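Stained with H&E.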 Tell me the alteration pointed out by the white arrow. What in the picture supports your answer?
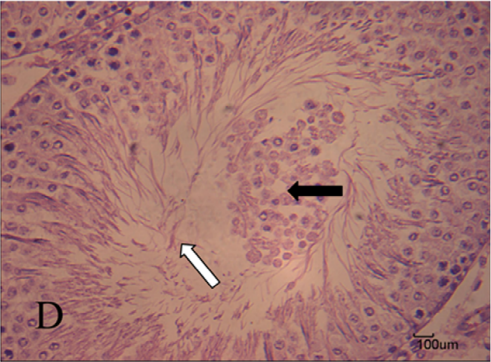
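Enlargement of the lumen of the seminiferous tubules. The white arrow points into a wide pale central space of the tubule. The lumen occupies a large part of the tubule's cross-section.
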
